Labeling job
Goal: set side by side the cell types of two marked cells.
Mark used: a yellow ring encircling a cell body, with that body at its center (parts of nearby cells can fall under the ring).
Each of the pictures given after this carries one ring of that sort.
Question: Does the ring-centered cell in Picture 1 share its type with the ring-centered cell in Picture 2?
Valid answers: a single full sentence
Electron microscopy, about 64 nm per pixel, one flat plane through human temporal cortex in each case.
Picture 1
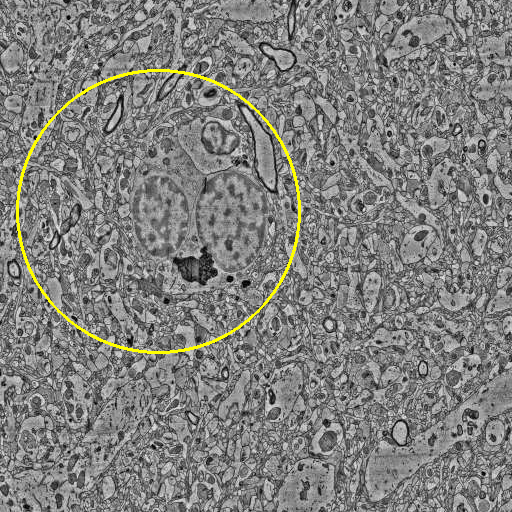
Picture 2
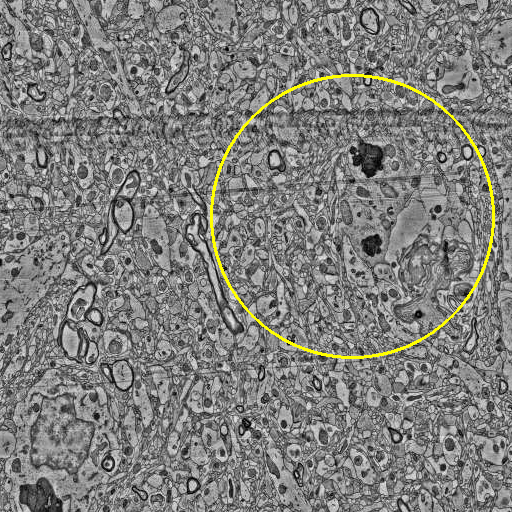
Yes, in Pictures 1 and 2 the cells at the ring centers share one type.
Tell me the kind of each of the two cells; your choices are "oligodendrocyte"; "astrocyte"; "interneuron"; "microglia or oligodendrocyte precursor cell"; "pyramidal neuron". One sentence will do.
In each picture the ringed cell is an oligodendrocyte.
